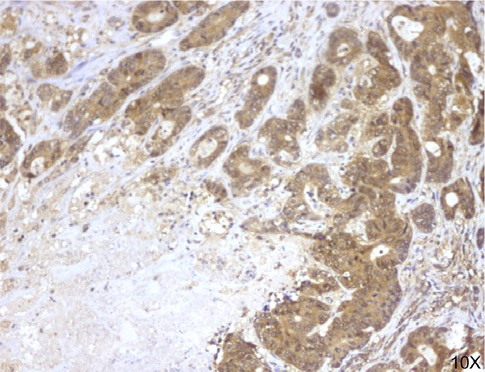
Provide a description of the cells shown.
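Crowded, irregular and branching glands lined by tall columnar tumour cells with stratified, enlarged nuclei fill the right side, set in a loose fibrous stroma. The tumour epithelium is stained diffusely brown in both cytoplasm and nuclei, more strongly than the surrounding stroma. At the left lies a pale, amorphous area with little cellular detail.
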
